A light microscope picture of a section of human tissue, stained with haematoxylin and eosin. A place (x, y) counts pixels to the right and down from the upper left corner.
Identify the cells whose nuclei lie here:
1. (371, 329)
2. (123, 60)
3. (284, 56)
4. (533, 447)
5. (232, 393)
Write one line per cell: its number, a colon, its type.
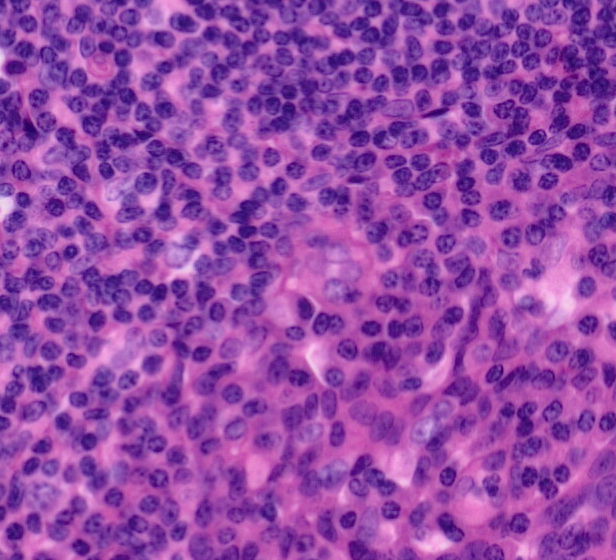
1: plasma cell
2: small lymphocyte
3: small lymphocyte
4: plasma cell
5: plasma cell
